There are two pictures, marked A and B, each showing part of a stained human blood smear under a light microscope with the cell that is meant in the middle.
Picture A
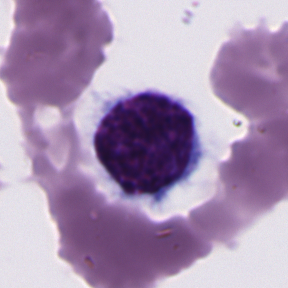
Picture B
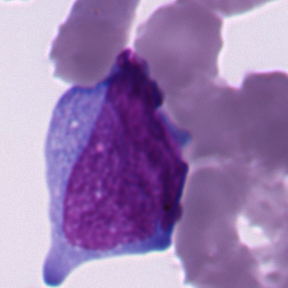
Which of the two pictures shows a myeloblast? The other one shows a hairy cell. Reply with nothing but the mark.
B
